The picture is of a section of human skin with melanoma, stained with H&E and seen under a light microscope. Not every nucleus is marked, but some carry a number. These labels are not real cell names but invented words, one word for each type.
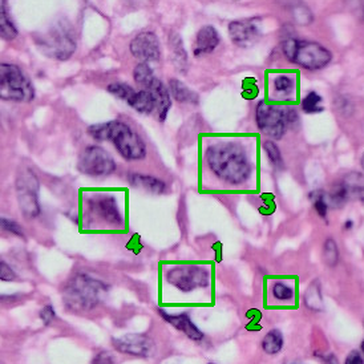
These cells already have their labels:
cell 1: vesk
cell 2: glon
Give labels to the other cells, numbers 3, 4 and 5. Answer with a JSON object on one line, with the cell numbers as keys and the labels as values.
{"3": "vesk", "4": "vesk", "5": "glon"}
